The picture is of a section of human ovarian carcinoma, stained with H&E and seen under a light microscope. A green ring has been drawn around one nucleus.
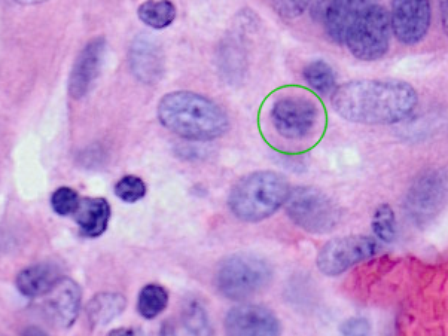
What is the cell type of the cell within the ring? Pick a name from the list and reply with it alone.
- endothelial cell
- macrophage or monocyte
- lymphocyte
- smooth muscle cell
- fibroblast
macrophage or monocyte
